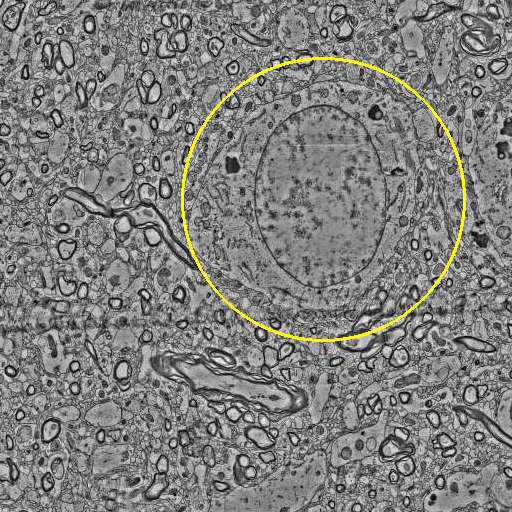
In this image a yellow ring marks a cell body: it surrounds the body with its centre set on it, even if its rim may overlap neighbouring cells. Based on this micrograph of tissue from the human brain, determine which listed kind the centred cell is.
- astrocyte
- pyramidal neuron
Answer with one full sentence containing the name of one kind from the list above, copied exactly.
It is a pyramidal neuron whose body the yellow ring encloses at its centre.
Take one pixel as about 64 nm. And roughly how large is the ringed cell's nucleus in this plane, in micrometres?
About 12 by 9 micrometers for the nucleus, in this plane.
